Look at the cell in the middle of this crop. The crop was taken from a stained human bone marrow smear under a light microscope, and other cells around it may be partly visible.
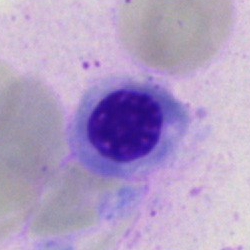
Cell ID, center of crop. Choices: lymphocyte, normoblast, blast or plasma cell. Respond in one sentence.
In the center of this field lies a normoblast.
